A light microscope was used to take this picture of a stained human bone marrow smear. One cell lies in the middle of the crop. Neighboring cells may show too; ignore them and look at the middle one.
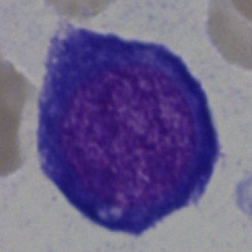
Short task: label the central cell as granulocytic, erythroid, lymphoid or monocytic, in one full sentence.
Classified by lineage, the middle cell is erythroid.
